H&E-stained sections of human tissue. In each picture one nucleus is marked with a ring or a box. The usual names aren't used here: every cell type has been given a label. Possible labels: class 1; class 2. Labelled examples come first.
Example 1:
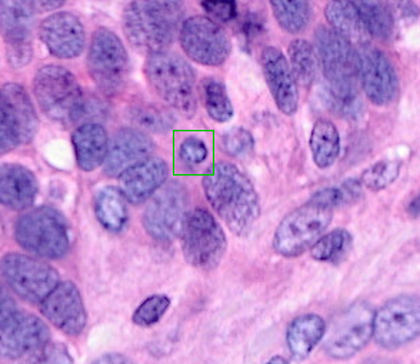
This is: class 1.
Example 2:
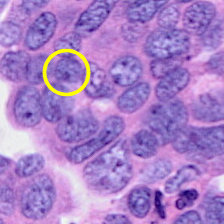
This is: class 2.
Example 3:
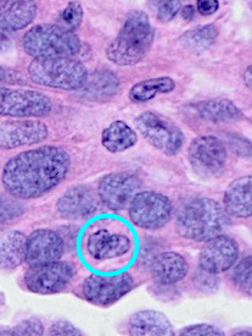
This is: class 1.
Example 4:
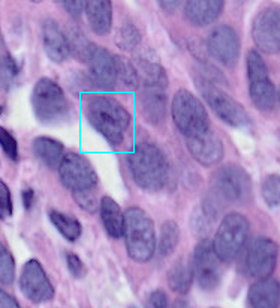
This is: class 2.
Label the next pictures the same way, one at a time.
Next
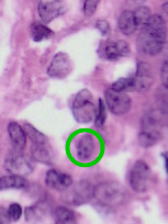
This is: class 1.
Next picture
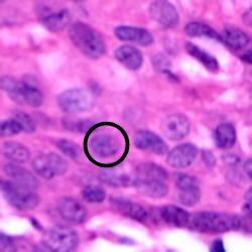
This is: class 2.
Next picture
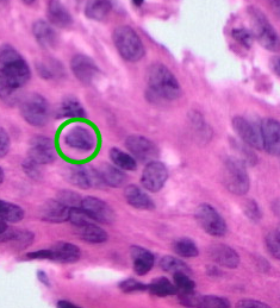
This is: class 1.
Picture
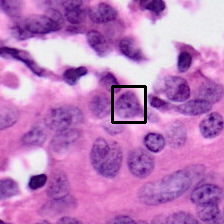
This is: class 2.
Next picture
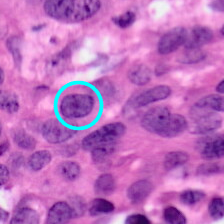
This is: class 2.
